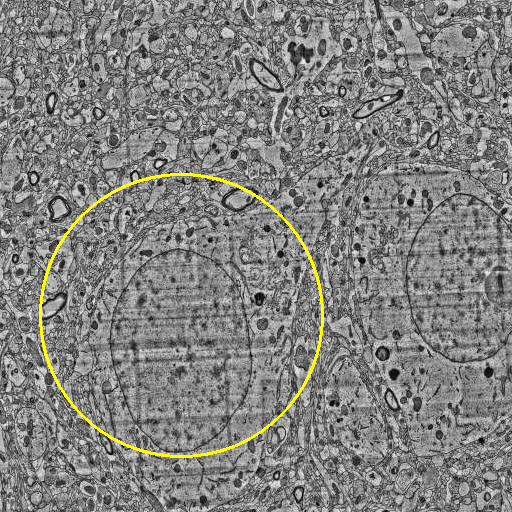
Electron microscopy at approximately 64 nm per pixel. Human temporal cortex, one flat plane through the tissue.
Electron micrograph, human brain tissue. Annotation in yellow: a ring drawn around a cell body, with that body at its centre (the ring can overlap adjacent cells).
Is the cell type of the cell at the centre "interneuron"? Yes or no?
No, it is of another type.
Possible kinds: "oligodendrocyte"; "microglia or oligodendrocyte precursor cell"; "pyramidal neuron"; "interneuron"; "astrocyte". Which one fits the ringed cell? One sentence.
Instead, what sits at the centre of the ring is a pyramidal neuron.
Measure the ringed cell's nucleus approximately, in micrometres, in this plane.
The nucleus of the ringed cell is approximately 13 by 9 micrometres in this plane.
